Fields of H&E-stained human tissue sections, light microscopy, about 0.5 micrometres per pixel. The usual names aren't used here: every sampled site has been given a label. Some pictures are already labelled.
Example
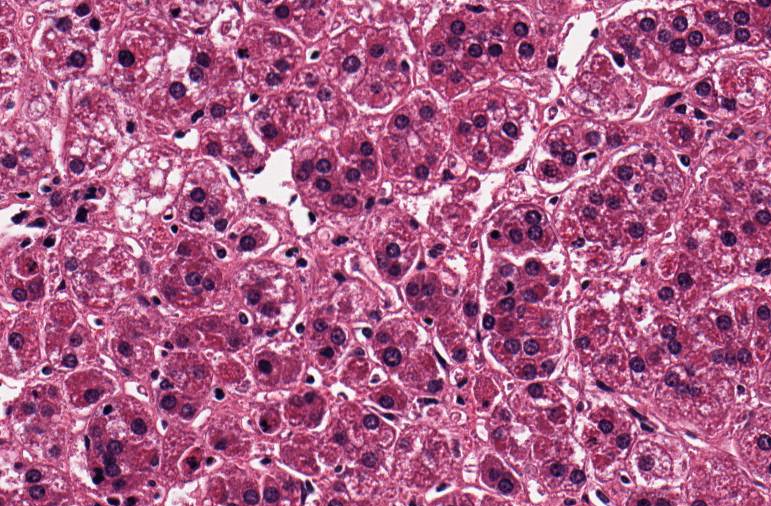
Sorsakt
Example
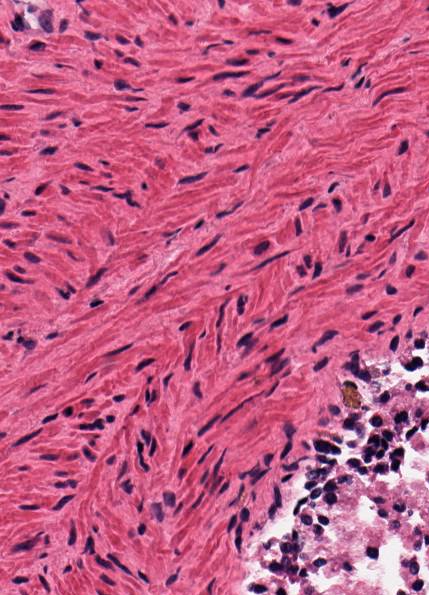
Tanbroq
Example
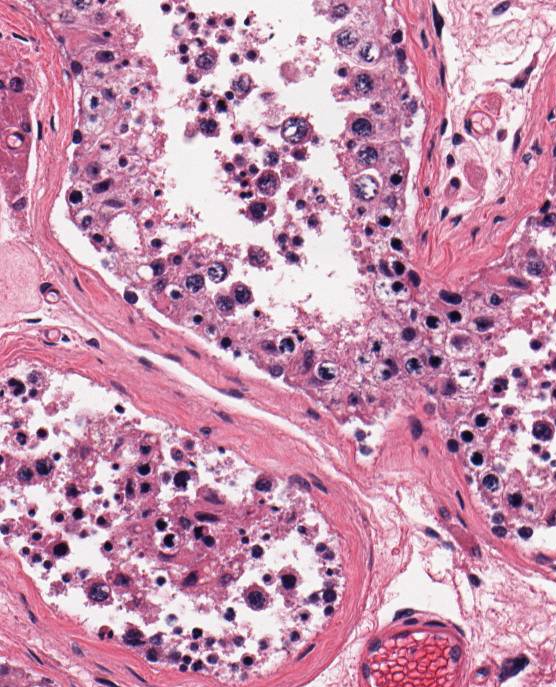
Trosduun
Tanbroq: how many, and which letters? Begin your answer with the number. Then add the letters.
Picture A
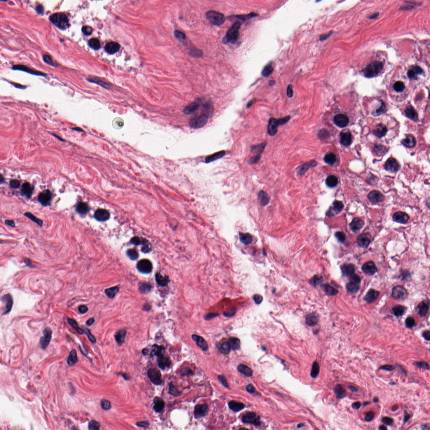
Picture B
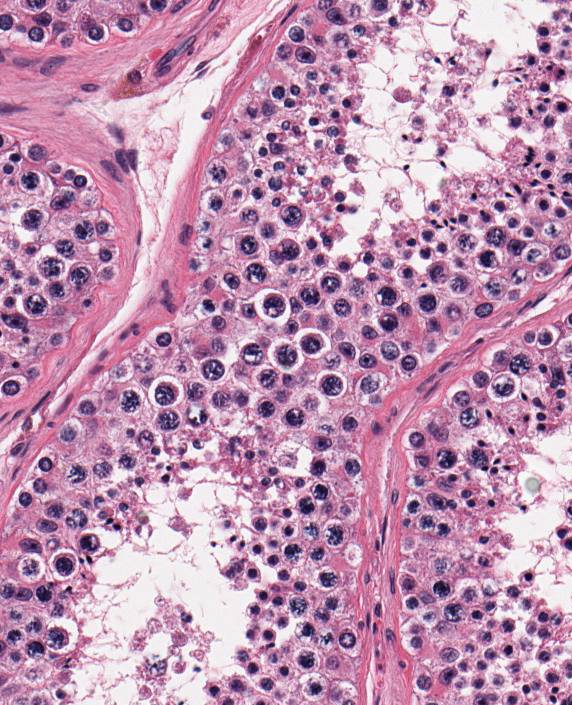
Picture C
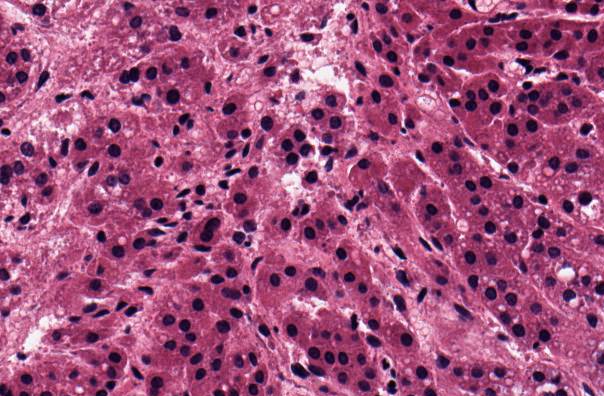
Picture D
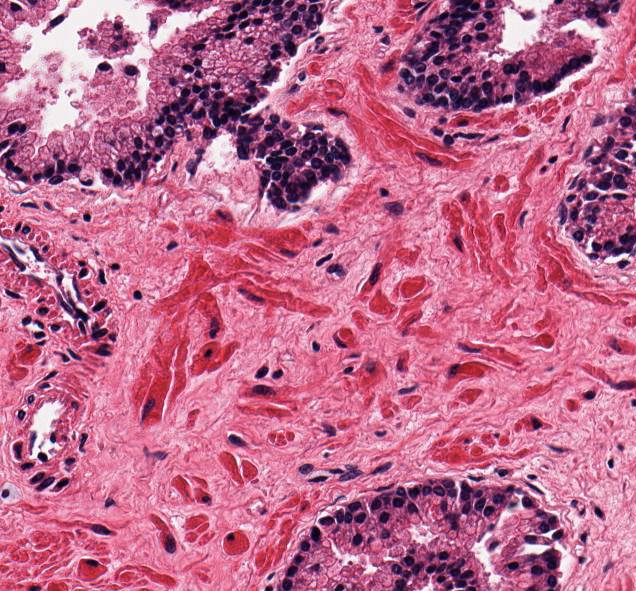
1, namely D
